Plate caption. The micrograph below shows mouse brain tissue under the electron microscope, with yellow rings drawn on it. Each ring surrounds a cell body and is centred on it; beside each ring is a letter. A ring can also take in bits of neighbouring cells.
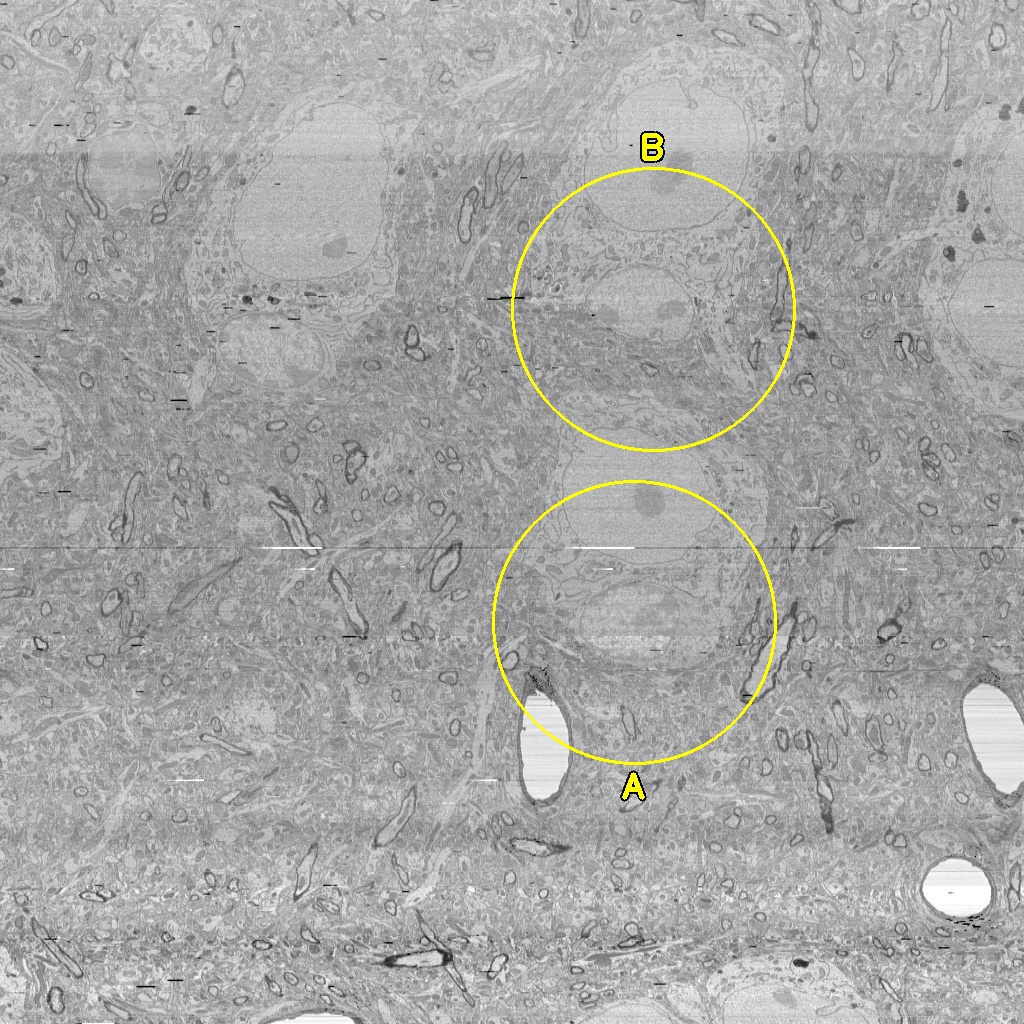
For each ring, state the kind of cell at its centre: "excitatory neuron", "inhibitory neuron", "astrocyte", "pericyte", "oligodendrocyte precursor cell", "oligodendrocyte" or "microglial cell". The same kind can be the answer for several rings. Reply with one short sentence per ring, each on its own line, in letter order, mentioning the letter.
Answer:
Ring A is drawn around an oligodendrocyte.
Ring B is drawn around an astrocyte.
